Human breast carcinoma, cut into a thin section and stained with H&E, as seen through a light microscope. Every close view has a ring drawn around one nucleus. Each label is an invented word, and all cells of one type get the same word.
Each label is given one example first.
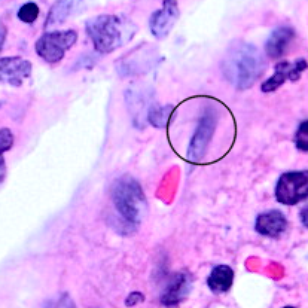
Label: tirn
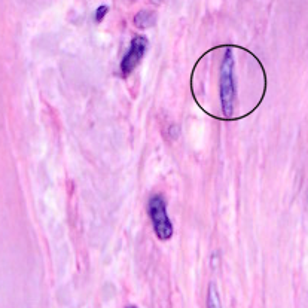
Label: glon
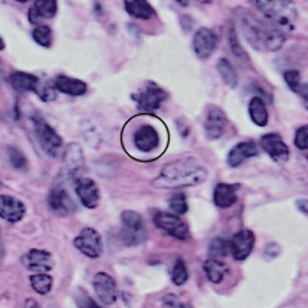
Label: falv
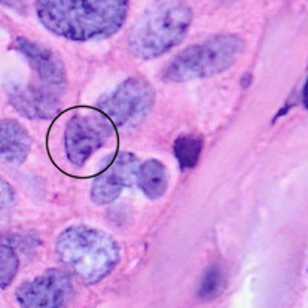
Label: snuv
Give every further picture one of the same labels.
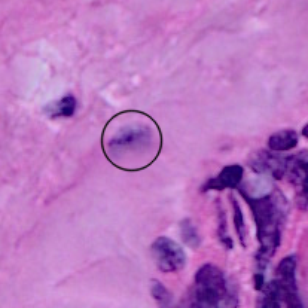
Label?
glon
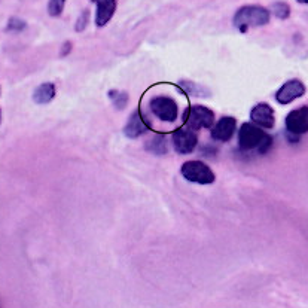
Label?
falv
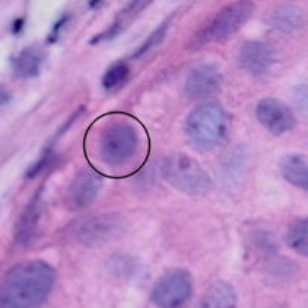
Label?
snuv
